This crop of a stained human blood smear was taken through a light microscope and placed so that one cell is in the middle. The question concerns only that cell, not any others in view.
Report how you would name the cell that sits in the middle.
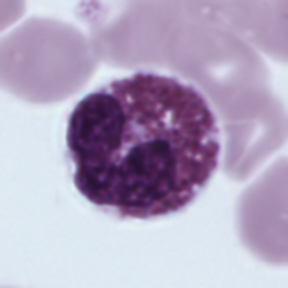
eosinophil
